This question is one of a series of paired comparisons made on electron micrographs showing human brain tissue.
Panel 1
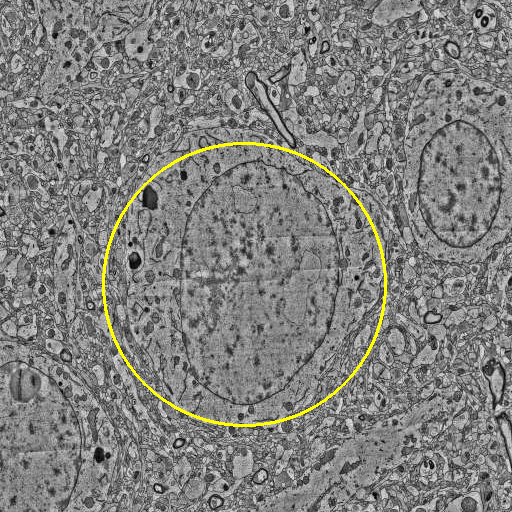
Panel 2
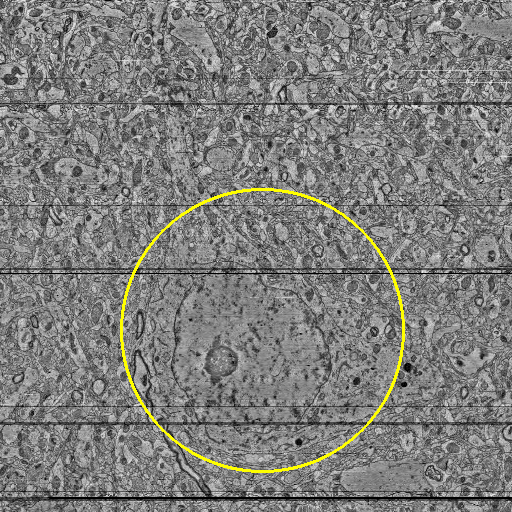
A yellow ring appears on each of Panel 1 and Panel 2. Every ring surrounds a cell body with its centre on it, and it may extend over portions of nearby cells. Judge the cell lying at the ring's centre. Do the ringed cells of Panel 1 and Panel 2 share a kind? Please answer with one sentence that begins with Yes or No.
Yes, the ring-centre cell in Panel 1 and the one in Panel 2 are of one kind.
